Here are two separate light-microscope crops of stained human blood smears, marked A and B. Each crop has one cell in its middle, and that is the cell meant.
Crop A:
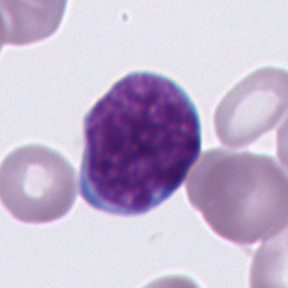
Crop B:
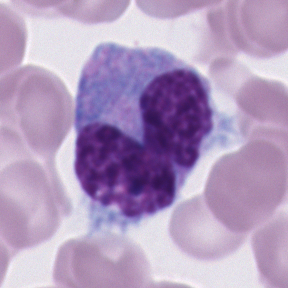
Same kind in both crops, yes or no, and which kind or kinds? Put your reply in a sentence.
No, crop A holds a myeloblast, and a monocyte occupies crop B.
